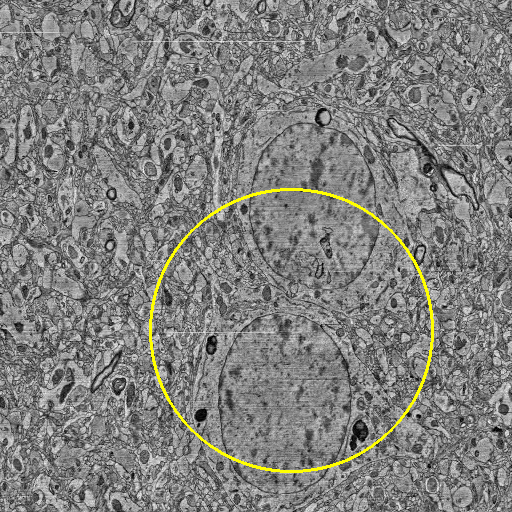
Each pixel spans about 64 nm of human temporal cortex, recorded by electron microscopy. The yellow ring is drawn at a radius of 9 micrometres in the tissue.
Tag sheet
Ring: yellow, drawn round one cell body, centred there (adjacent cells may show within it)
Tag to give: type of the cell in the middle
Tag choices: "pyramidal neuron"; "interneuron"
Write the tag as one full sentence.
I tag the cell centred in the yellow ring as a pyramidal neuron in this picture.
